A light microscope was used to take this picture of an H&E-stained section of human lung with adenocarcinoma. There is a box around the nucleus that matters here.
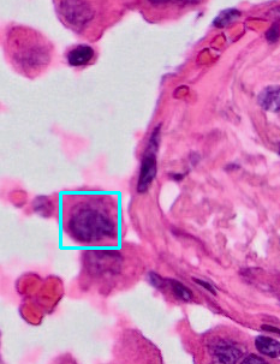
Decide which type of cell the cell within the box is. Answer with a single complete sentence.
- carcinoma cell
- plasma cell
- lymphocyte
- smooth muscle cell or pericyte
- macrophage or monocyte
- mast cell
In the tissue at hand, the cell within the box is a carcinoma cell.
